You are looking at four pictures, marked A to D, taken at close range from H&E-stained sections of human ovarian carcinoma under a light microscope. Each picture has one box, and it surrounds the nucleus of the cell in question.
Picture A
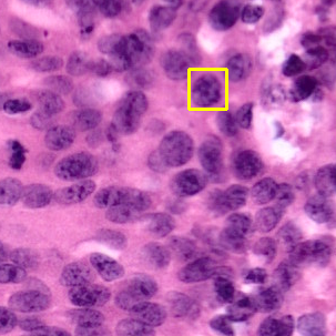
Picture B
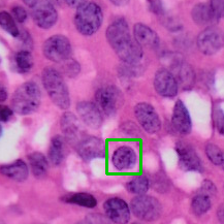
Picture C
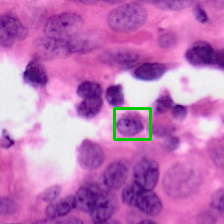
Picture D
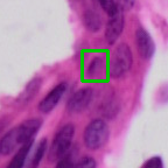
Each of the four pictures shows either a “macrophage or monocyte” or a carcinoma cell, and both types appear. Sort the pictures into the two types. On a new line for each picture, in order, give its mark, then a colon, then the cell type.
A: carcinoma cell
B: macrophage or monocyte
C: macrophage or monocyte
D: carcinoma cell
